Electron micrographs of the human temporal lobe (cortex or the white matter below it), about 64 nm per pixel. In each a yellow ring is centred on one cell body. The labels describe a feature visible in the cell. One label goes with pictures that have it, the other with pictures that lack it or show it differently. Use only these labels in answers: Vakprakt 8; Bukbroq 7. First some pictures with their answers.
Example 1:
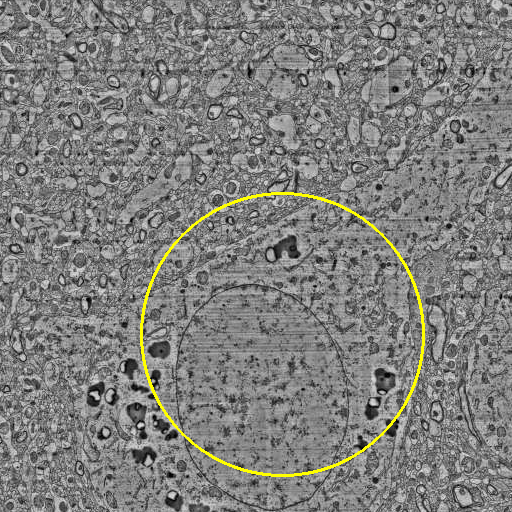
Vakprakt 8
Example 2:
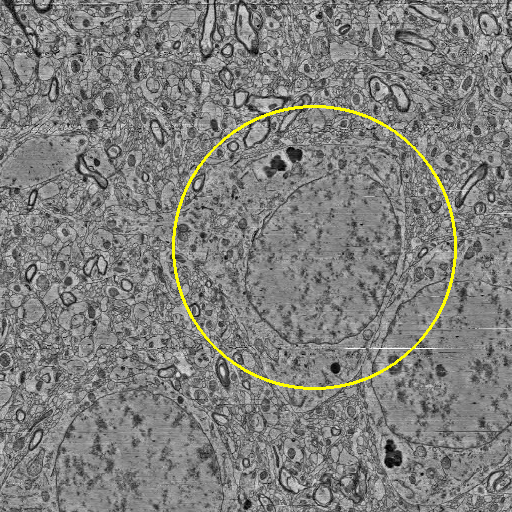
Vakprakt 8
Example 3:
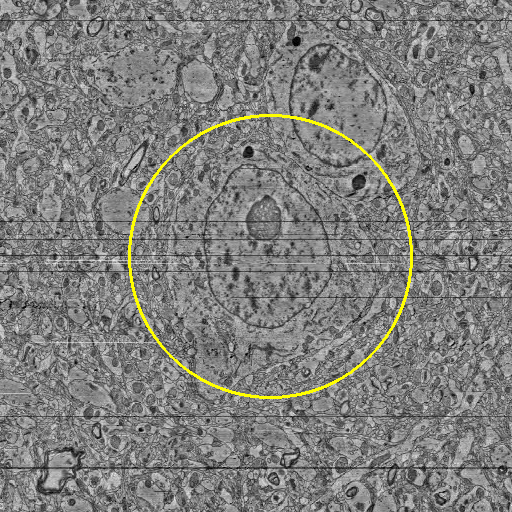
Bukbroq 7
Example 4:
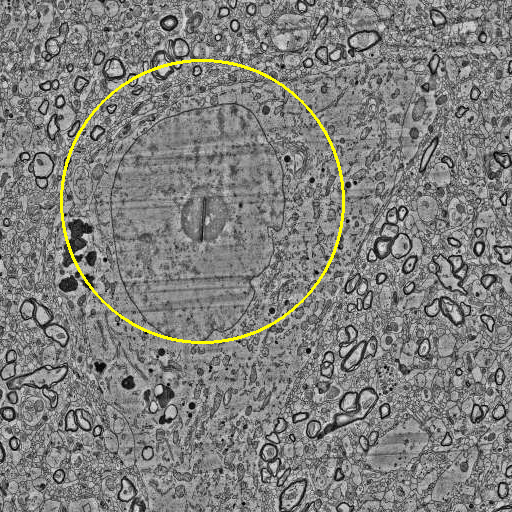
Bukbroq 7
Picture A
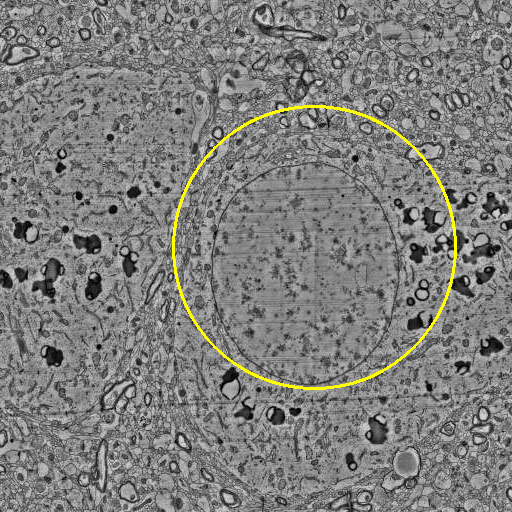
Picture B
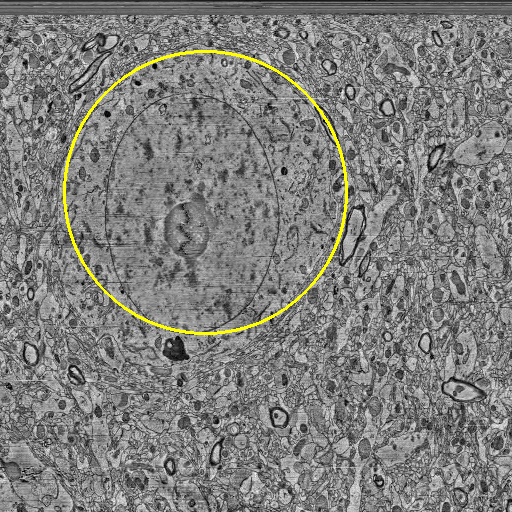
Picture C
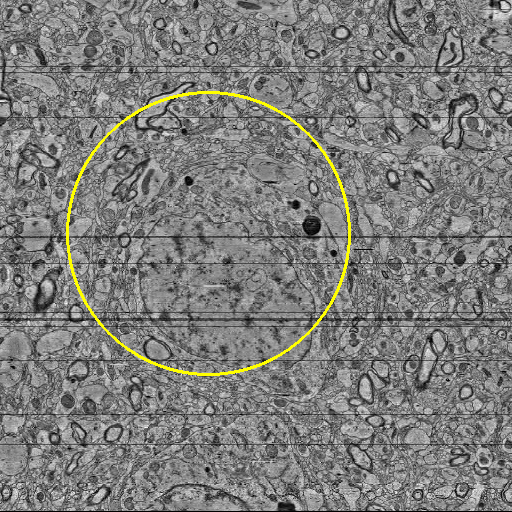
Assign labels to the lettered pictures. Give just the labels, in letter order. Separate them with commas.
Vakprakt 8, Bukbroq 7, Vakprakt 8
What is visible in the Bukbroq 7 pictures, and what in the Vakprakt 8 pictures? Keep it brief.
Seen in Bukbroq 7: nucleolus seen; seen in Vakprakt 8: no nucleolus seen.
